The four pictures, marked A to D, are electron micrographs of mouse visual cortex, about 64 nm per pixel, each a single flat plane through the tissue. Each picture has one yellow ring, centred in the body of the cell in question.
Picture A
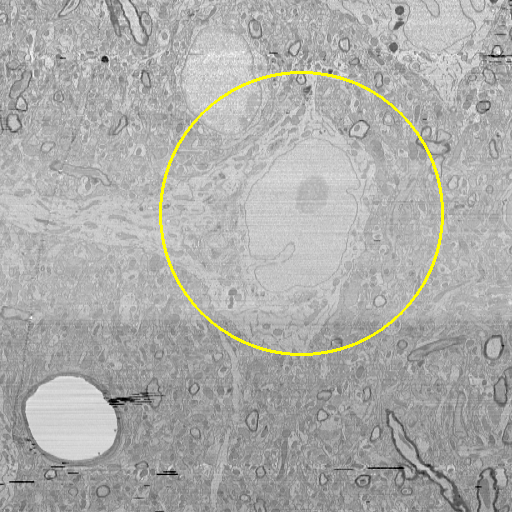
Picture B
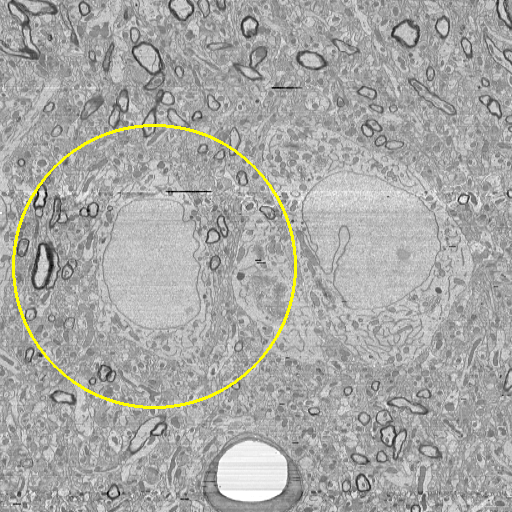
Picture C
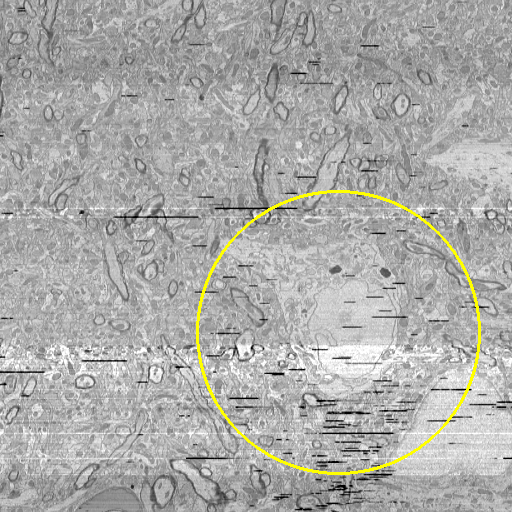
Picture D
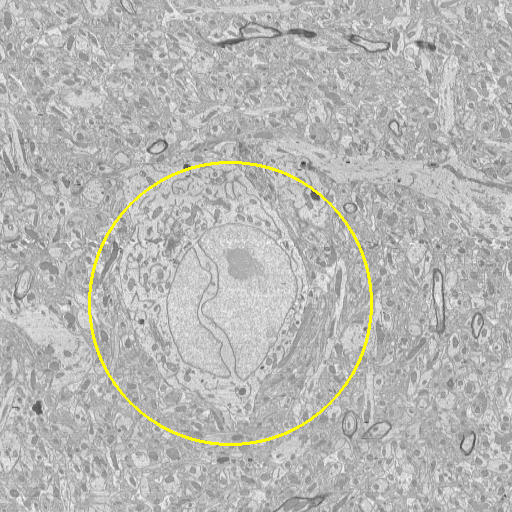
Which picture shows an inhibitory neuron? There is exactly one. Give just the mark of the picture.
D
